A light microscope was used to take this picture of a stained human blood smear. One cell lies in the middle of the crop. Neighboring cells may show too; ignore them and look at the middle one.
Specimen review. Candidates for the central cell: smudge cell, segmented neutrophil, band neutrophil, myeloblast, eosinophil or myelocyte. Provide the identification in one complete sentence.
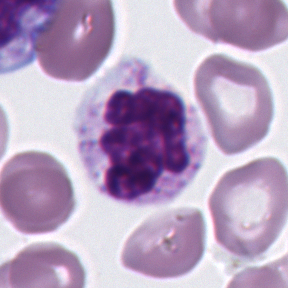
Among the cells in view, the one in the middle is a segmented neutrophil.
